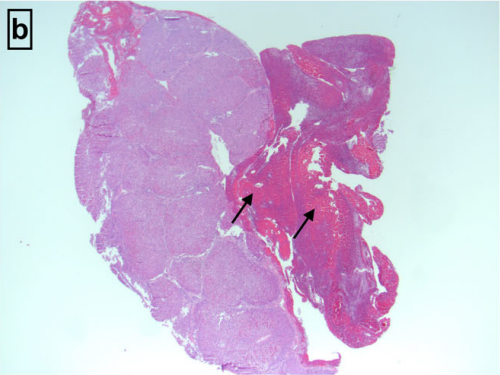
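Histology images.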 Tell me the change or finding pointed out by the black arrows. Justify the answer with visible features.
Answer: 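A large dark red mass lies against one side of the pale pink tissue section. The red mass is separate in texture from the lobulated pink parenchyma beside it. That points to this answer: adherent clot.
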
